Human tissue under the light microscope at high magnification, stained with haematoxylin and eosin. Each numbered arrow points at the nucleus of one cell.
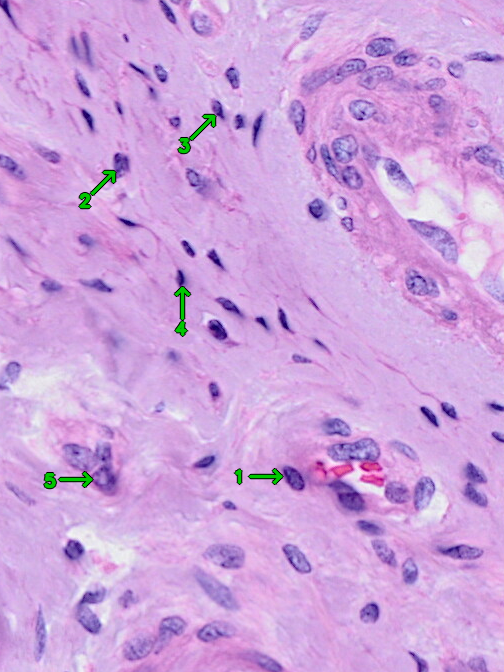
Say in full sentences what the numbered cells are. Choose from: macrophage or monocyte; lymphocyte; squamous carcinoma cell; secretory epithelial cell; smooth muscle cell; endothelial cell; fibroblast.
Cell 1 is an endothelial cell, cell 2 is a fibroblast, cell 3 is a fibroblast, cell 4 is a fibroblast and cell 5 is an endothelial cell.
